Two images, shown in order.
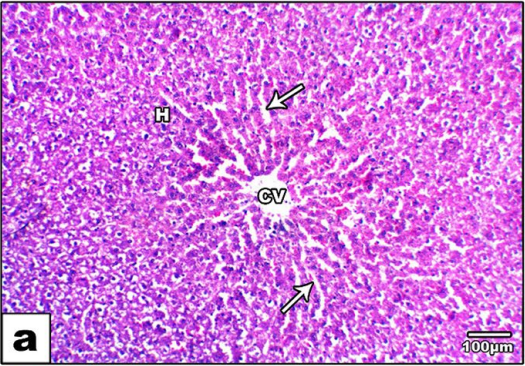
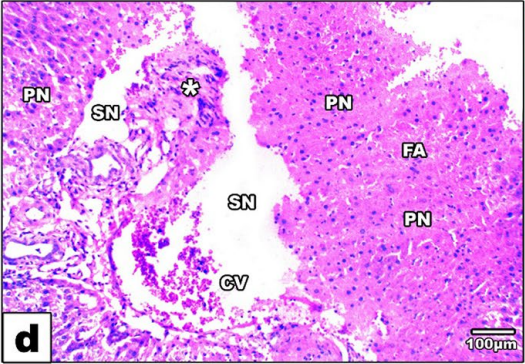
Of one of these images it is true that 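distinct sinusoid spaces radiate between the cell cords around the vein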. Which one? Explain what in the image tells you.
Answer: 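Second image: the pink sheet of cells is homogeneous with few clear spaces between cells, beside large empty torn areas. First image: many narrow clear spaces run outward like spokes from the central lumen between cords of cells. So: the first image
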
